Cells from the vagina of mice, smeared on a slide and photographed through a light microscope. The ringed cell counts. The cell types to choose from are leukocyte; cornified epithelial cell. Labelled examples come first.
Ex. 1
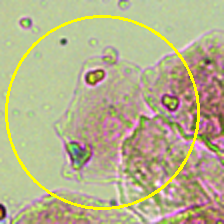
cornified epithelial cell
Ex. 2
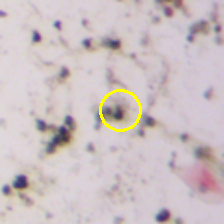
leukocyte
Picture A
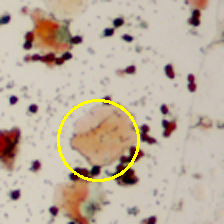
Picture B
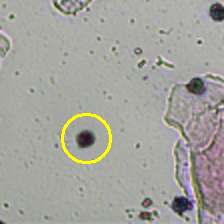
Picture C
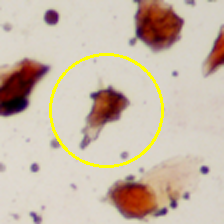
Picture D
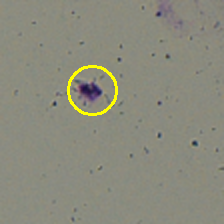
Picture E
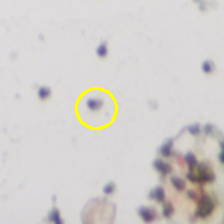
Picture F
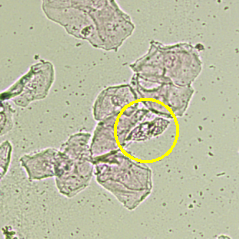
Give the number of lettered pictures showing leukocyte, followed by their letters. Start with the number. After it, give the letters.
Count: 3 (B, D, E)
